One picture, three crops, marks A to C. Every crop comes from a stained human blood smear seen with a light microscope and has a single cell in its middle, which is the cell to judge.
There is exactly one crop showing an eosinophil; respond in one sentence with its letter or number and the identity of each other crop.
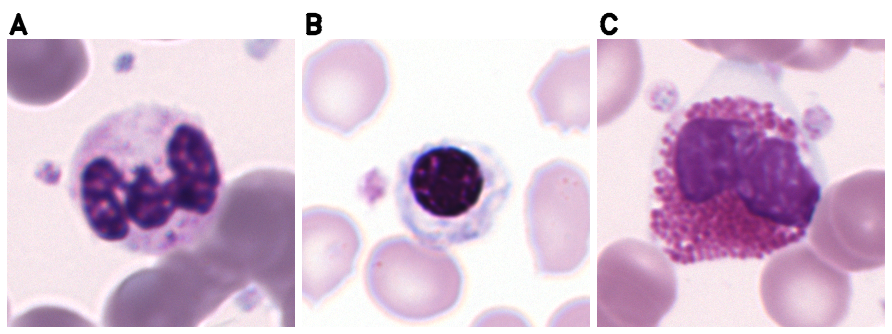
Depicted in crop C is an eosinophil, while crop A is a segmented neutrophil and crop B is a normoblast.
